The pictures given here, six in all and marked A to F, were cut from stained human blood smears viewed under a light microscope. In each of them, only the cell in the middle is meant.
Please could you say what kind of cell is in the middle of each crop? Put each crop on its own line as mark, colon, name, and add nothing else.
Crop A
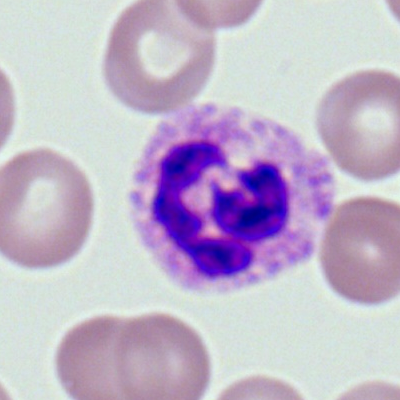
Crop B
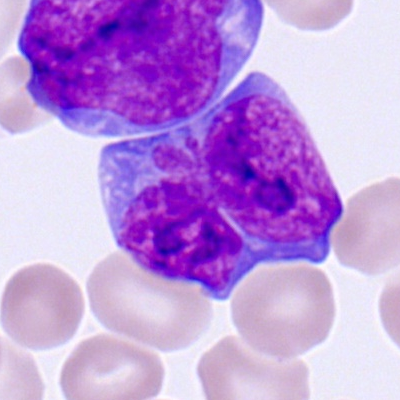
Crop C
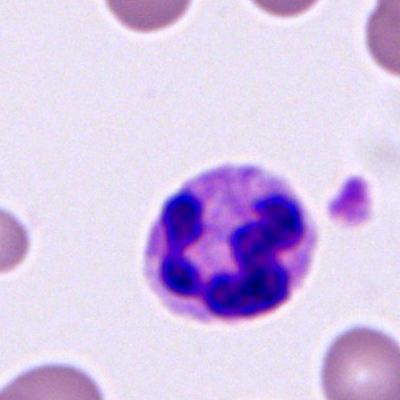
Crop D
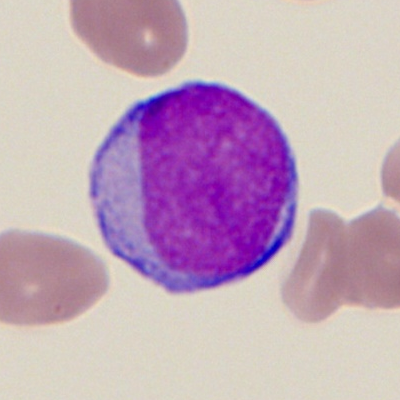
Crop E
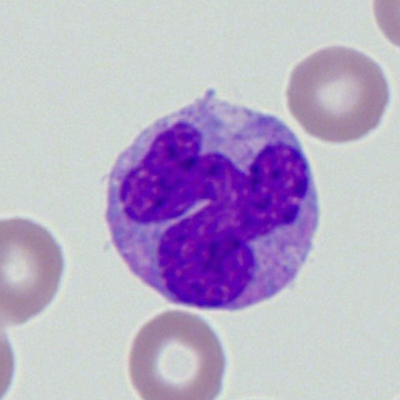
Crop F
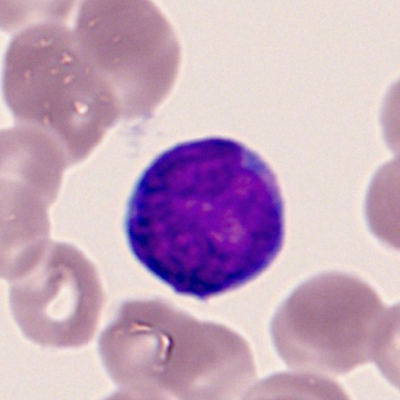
A: segmented neutrophil
B: myeloblast
C: segmented neutrophil
D: myeloblast
E: monocyte
F: myeloblast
